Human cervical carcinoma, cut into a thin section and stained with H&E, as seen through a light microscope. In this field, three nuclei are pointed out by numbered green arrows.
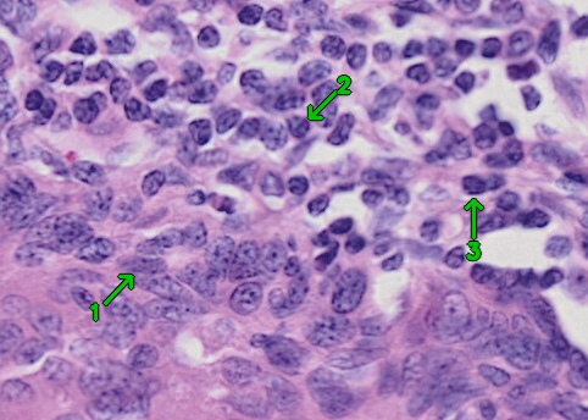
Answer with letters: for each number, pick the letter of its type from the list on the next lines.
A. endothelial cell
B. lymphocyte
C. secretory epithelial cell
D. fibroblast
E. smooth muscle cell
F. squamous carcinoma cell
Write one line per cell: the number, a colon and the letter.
1: F
2: B
3: B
